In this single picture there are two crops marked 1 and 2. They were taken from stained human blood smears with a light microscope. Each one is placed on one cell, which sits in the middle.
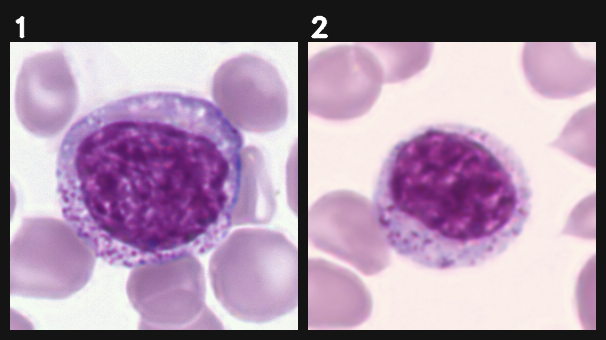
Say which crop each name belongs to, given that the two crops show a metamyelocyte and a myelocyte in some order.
1: myelocyte
2: metamyelocyte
